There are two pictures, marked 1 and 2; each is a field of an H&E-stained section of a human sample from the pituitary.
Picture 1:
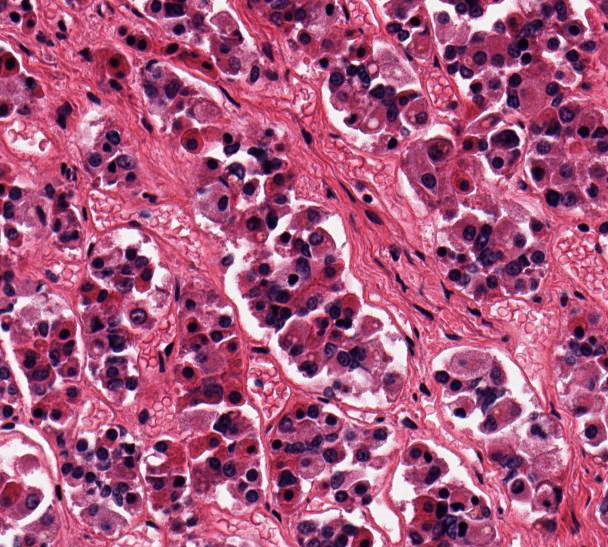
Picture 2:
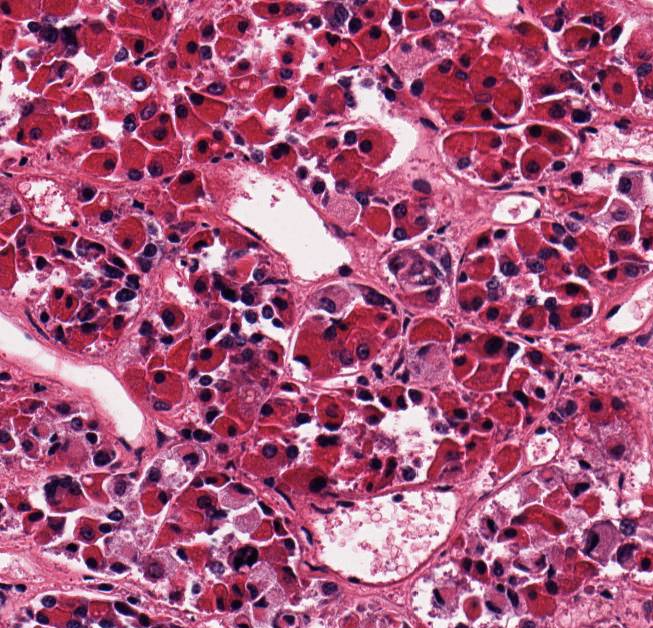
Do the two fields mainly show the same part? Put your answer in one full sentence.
Yes, they mainly show the same part: both mainly show the pars distalis.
